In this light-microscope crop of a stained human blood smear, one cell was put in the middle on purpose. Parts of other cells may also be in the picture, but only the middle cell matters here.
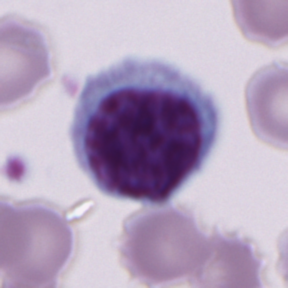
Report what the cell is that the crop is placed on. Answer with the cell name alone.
lymphocyte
